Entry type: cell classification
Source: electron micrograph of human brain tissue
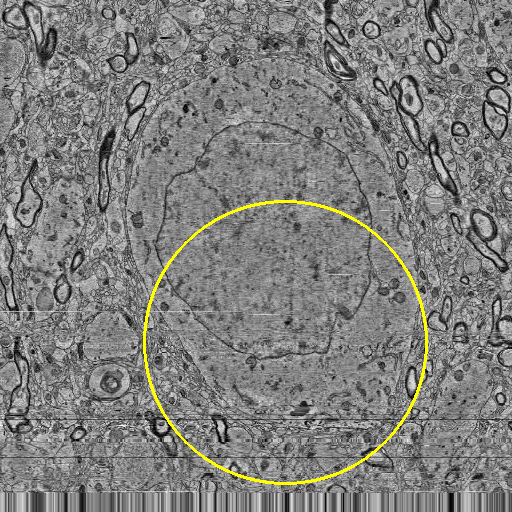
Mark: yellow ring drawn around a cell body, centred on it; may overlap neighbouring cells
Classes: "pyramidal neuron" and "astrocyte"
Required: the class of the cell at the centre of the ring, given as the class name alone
pyramidal neuron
